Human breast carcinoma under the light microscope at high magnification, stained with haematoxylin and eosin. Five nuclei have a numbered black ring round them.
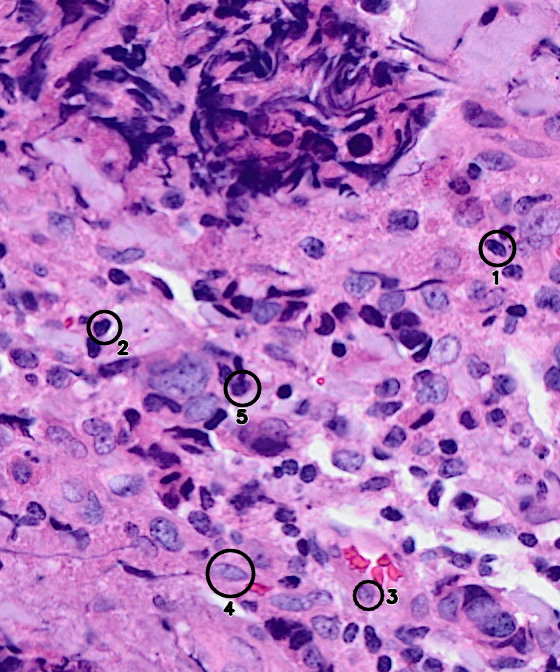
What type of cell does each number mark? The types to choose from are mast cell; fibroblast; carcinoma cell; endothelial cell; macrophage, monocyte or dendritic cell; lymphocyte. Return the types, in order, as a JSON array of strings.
["lymphocyte", "lymphocyte", "endothelial cell", "endothelial cell", "lymphocyte"]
